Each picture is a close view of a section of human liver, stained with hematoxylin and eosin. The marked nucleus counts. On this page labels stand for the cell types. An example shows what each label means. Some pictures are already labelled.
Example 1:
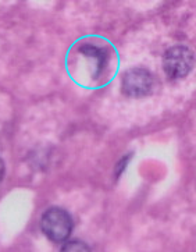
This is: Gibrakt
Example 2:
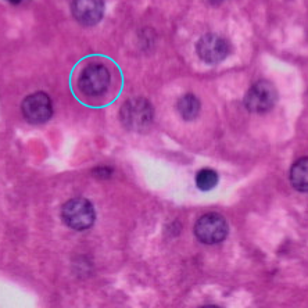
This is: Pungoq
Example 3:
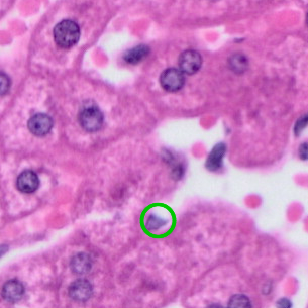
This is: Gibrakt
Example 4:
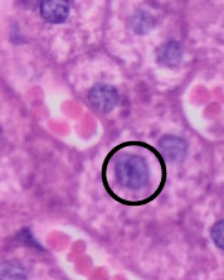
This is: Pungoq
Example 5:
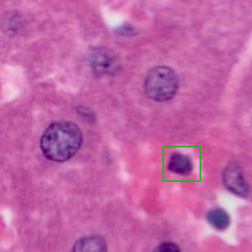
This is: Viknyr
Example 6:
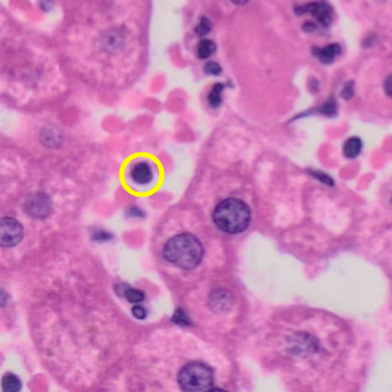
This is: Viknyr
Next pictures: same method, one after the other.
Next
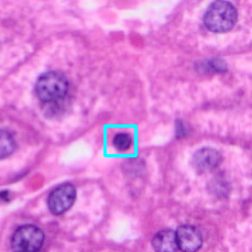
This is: Viknyr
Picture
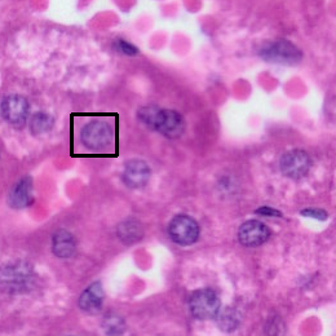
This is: Pungoq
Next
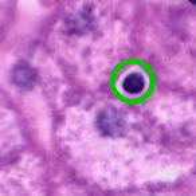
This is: Viknyr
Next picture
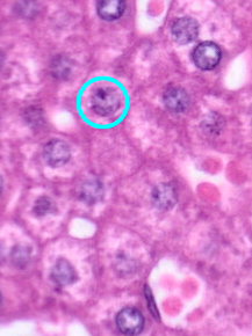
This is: Pungoq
